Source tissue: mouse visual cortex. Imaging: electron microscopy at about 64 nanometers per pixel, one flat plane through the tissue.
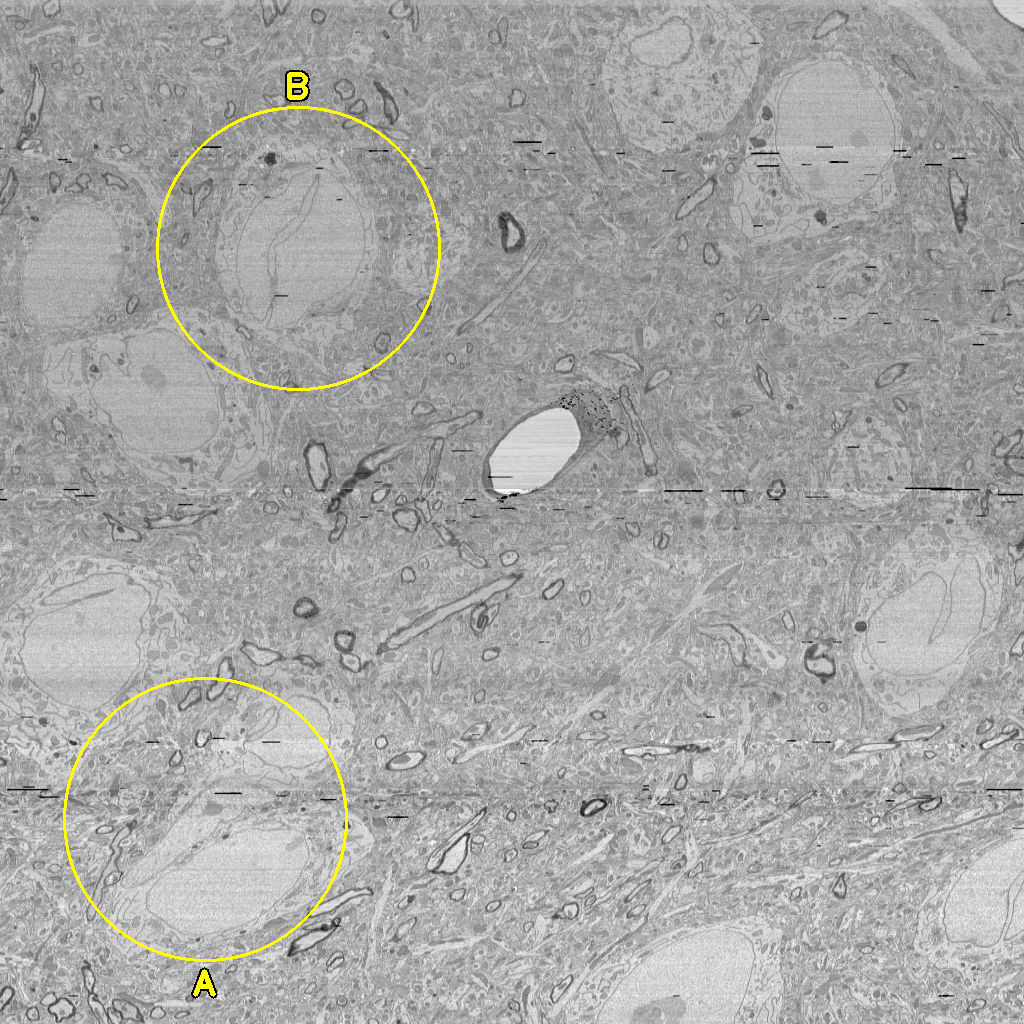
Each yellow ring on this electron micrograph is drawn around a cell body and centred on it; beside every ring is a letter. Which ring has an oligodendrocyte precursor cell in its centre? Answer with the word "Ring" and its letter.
Ring A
